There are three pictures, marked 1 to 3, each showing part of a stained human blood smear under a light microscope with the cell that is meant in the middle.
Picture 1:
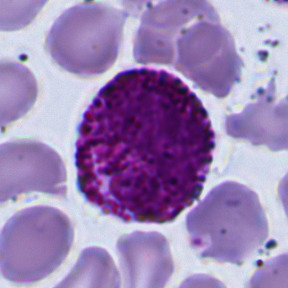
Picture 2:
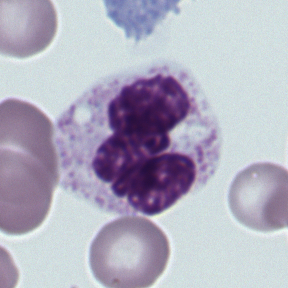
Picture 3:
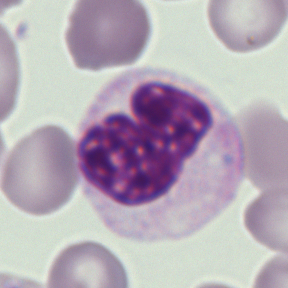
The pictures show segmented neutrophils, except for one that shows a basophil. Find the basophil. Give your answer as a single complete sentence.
It is picture 1 that shows the basophil.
